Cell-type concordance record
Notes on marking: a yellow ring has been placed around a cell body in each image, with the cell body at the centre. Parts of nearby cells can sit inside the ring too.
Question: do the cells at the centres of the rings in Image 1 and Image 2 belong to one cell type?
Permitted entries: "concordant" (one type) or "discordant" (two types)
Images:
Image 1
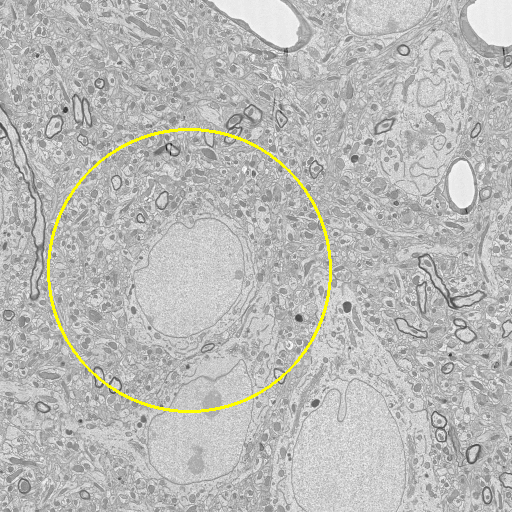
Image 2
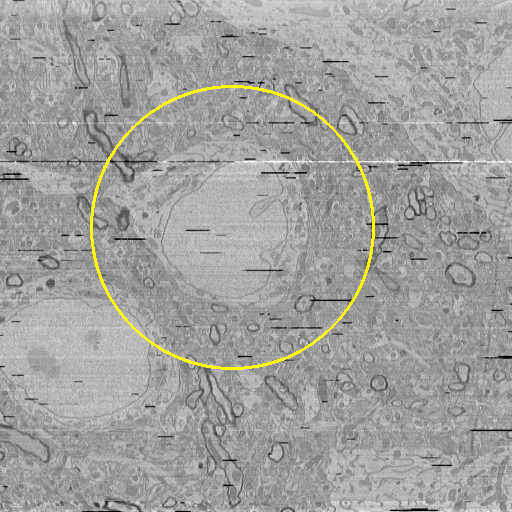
concordant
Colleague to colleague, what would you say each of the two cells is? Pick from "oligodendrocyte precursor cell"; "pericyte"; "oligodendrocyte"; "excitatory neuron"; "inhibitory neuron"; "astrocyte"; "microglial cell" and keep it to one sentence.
In both pictures the ring is centred on an excitatory neuron.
